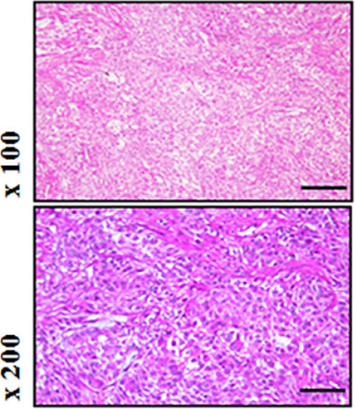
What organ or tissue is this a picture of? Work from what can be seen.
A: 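Solid sheets of densely packed cells without normal organ architecture. Cells arranged in nests separated by thin pink fibrous strands. Crowded purple nuclei at the higher magnification.
Tumor mass.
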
